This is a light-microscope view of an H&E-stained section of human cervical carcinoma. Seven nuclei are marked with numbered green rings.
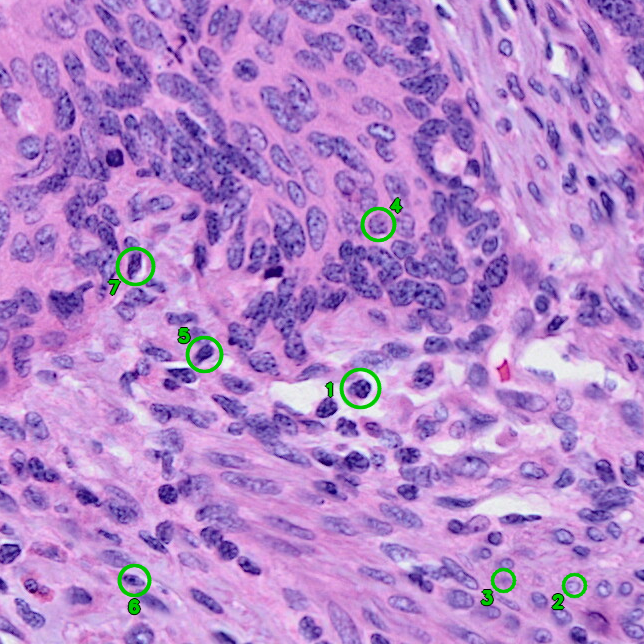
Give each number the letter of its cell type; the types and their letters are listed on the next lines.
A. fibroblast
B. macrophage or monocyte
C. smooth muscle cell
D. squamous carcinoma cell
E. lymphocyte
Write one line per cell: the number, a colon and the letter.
1: E
2: C
3: C
4: D
5: E
6: E
7: E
